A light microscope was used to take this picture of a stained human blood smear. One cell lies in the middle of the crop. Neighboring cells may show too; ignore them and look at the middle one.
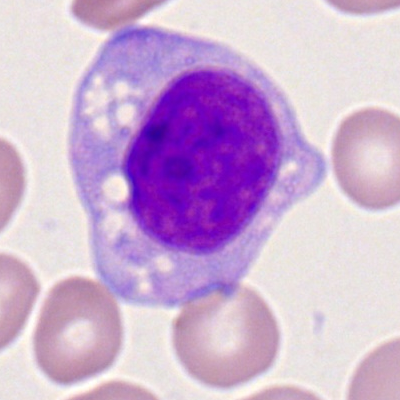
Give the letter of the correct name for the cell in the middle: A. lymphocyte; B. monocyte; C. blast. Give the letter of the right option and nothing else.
B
